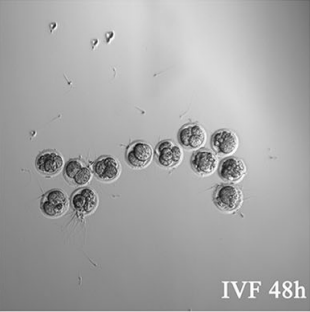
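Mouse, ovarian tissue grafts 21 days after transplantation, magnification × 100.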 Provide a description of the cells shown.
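Several contain a few rounded blastomeres packed inside, showing that they have divided. Slender sperm with thread-like tails lie scattered around and between the embryos.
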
